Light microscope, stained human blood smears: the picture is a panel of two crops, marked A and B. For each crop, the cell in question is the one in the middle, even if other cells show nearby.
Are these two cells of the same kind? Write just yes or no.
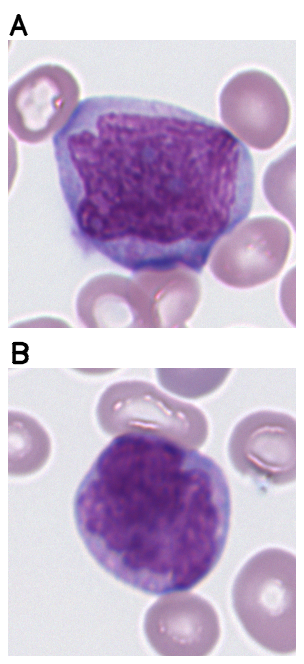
yes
